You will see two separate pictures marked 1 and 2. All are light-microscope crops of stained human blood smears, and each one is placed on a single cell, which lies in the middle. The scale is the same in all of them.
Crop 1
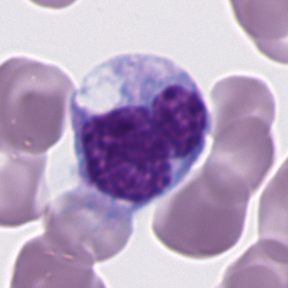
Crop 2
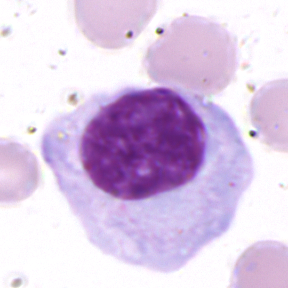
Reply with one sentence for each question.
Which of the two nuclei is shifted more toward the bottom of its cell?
In crop 1 the nucleus is shifted more toward the bottom.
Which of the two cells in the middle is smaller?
Crop 1 holds the smaller cell, since the cell in crop 2 covers about 2 times as much area.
